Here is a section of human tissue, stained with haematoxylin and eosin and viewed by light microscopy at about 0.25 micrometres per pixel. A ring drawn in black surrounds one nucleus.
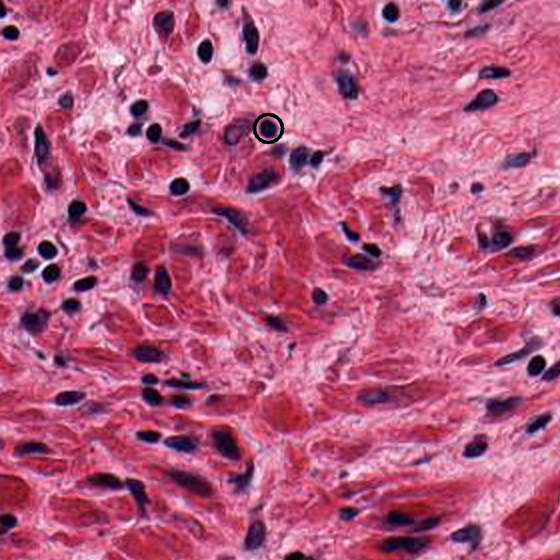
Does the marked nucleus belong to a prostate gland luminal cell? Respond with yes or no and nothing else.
no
